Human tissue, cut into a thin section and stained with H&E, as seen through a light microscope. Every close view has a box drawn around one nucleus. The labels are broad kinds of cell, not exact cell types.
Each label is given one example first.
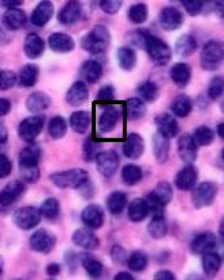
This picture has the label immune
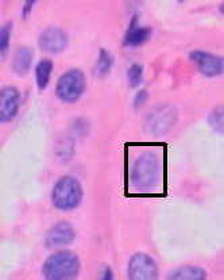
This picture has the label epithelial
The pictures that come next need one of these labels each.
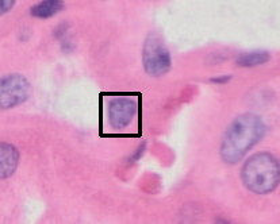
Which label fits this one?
epithelial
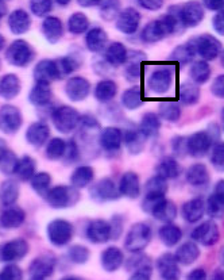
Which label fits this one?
immune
